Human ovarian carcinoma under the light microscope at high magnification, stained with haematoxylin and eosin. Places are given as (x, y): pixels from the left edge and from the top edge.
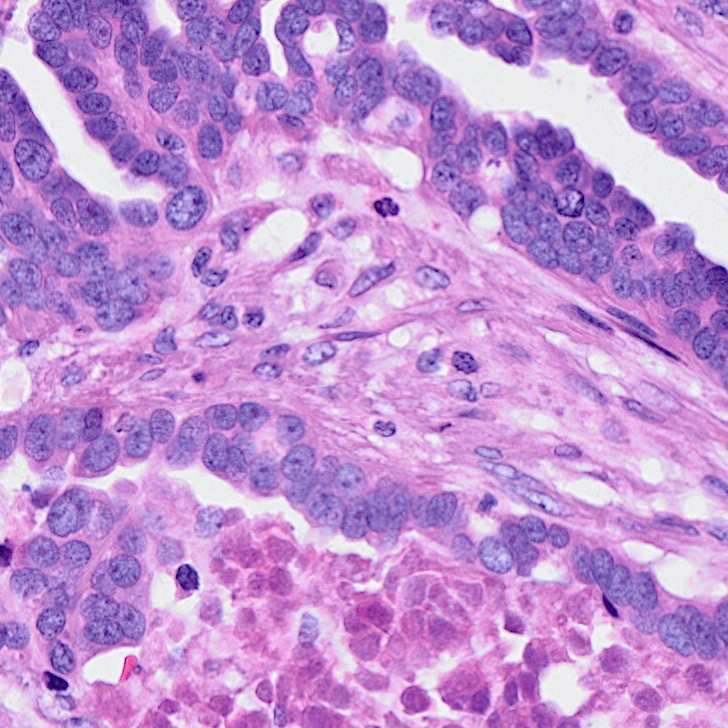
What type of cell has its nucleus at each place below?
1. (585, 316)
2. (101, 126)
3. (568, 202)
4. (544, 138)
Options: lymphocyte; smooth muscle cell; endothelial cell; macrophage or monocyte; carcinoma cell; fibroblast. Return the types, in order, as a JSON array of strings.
["fibroblast", "carcinoma cell", "carcinoma cell", "carcinoma cell"]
